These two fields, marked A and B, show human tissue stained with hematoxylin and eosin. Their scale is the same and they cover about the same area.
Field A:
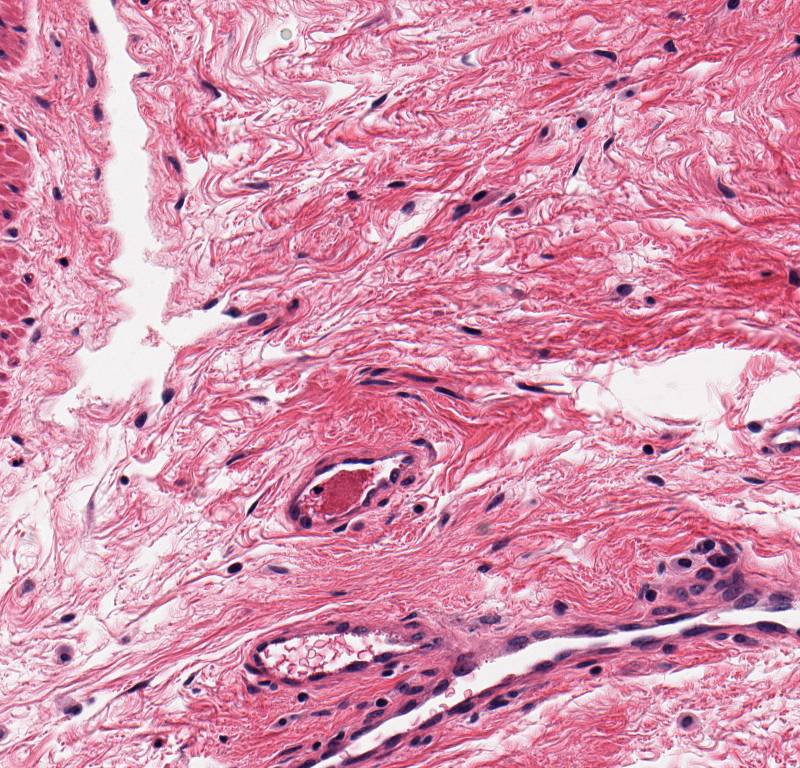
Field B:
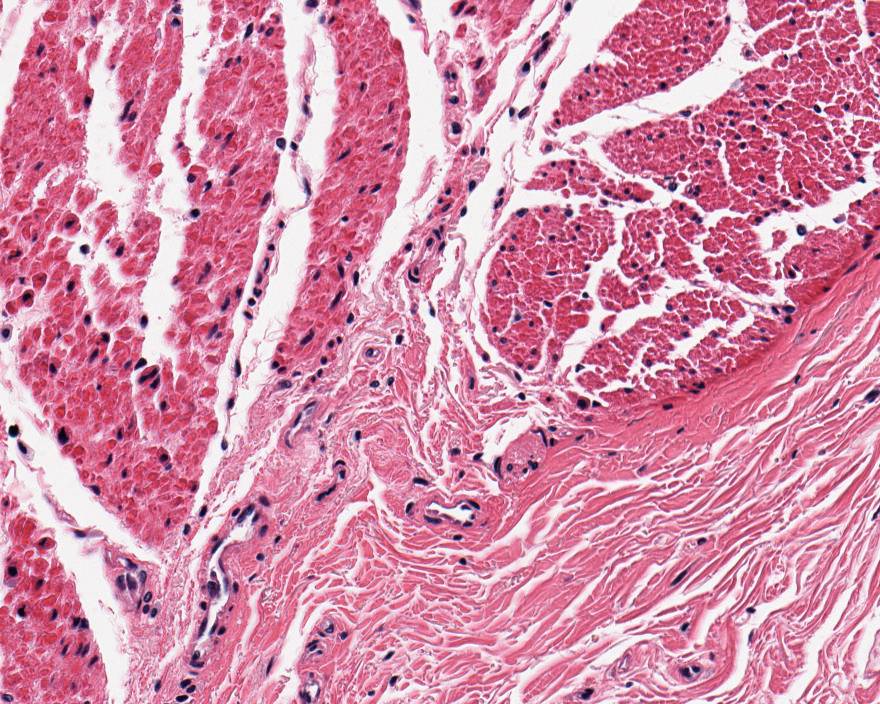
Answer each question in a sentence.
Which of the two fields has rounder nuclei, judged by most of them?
It is field B whose nuclei are the rounder.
